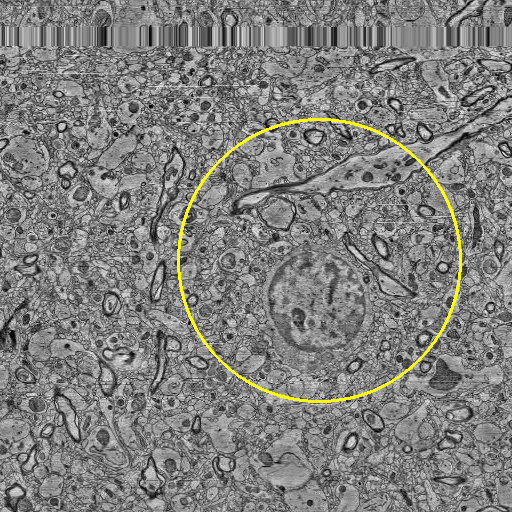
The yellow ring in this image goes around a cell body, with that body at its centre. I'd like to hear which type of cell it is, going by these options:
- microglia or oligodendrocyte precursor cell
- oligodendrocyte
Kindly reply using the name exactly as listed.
oligodendrocyte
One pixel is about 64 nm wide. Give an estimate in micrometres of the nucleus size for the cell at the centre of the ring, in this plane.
The ringed cell's nucleus is about 6 micrometres across in this plane.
